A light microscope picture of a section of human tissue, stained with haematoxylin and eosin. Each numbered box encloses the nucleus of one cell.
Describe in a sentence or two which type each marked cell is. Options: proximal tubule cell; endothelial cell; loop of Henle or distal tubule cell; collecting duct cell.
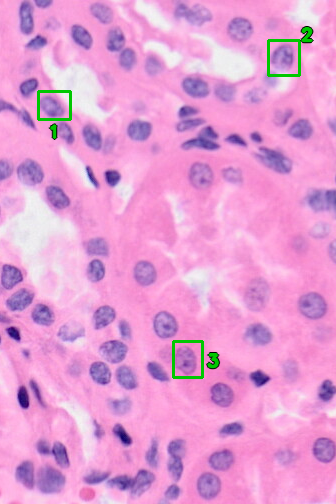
Cells 1 and 2 are collecting duct cells. Cell 3 is a proximal tubule cell.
